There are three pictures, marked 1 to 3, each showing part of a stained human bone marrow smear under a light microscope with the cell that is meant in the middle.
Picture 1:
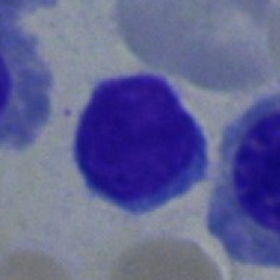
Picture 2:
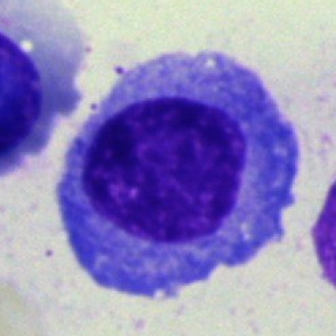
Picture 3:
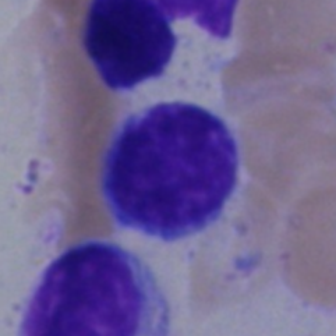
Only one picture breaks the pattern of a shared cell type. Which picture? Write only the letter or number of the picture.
2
